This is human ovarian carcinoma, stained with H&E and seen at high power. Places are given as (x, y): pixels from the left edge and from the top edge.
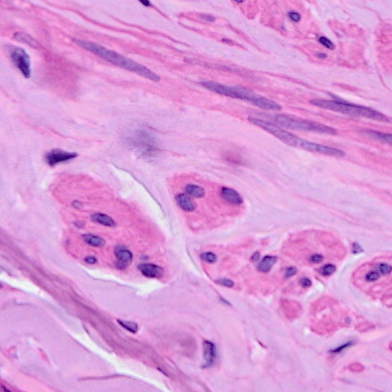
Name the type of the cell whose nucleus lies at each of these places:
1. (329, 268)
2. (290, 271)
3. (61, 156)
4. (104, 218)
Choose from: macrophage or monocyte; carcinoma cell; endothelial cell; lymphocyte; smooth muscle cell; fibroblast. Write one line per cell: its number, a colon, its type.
1: smooth muscle cell
2: smooth muscle cell
3: fibroblast
4: smooth muscle cell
